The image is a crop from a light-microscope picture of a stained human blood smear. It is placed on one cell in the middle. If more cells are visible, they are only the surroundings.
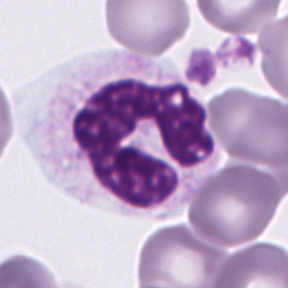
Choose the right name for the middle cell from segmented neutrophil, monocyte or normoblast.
segmented neutrophil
